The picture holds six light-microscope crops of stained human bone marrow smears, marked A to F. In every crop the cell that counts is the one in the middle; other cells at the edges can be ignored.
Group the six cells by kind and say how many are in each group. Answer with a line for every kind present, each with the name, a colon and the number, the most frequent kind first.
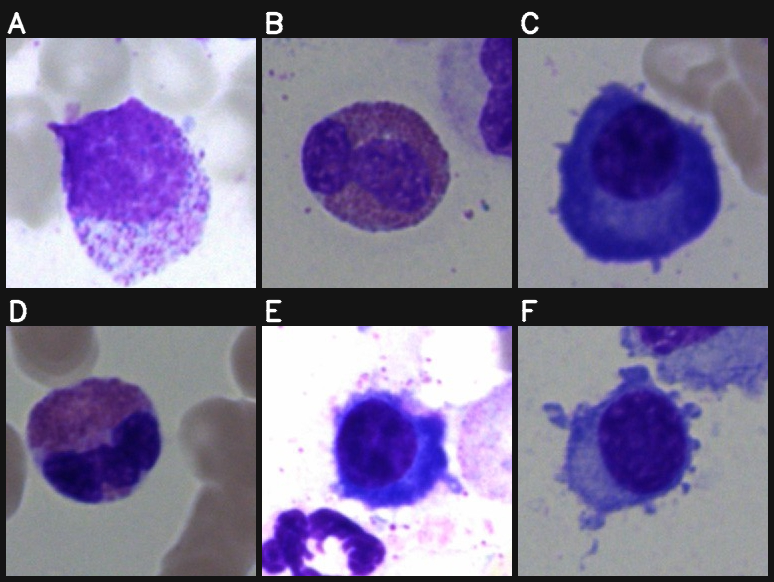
plasma cell: 3
eosinophil: 2
myelocyte: 1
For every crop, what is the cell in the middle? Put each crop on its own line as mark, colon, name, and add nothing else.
A: myelocyte
B: eosinophil
C: plasma cell
D: eosinophil
E: plasma cell
F: plasma cell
